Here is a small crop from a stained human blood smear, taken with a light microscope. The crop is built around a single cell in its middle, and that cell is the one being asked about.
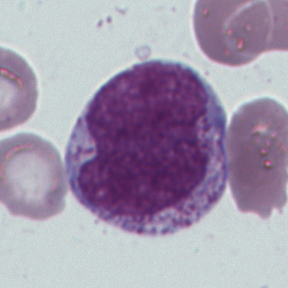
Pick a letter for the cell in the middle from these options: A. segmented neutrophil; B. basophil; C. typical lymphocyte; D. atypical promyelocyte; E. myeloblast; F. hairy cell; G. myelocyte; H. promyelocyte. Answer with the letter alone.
H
